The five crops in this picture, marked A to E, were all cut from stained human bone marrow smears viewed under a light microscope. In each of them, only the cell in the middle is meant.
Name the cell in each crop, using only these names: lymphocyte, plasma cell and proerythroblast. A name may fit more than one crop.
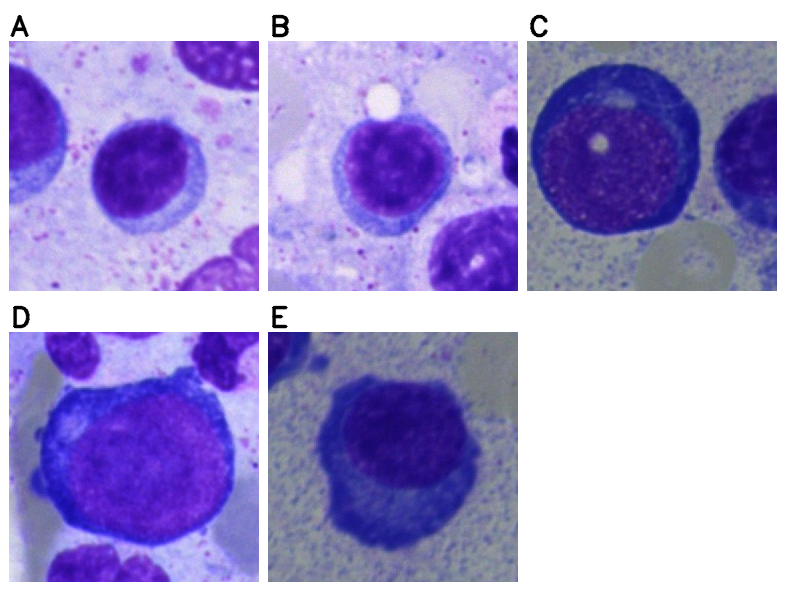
A: lymphocyte
B: lymphocyte
C: proerythroblast
D: proerythroblast
E: plasma cell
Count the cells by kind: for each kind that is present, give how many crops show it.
lymphocyte: 2
proerythroblast: 2
plasma cell: 1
